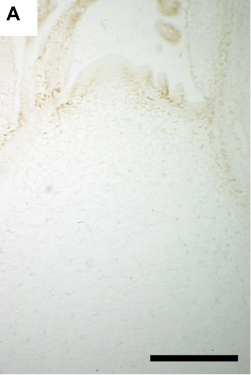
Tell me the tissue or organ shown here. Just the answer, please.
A: Shoot tips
